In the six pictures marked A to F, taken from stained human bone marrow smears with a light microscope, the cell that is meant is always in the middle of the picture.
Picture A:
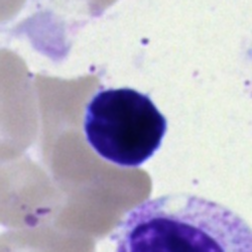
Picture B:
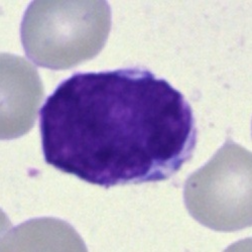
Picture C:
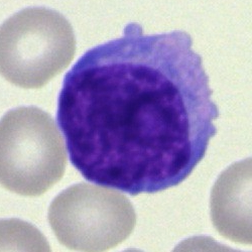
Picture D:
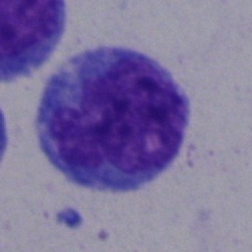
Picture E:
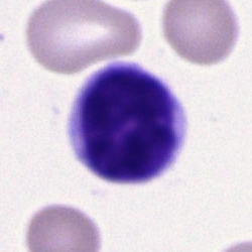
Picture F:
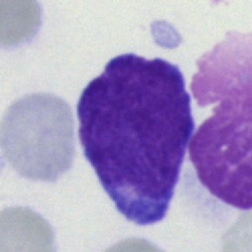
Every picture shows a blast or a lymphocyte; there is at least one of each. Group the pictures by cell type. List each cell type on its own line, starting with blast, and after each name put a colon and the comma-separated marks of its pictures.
blast: B, C, D, F
lymphocyte: A, E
